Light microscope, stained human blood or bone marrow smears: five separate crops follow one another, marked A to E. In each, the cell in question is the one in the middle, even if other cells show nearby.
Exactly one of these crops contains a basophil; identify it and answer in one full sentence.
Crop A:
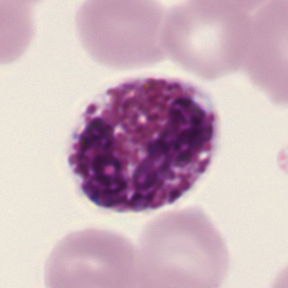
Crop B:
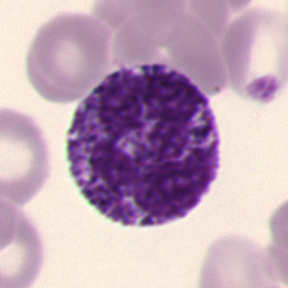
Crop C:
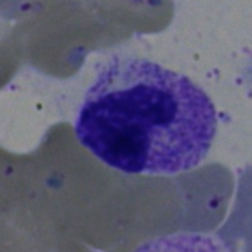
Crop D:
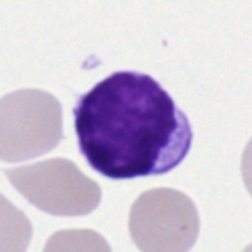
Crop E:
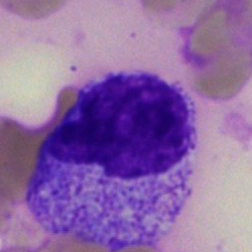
The crop that has a basophil in the middle is crop B.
